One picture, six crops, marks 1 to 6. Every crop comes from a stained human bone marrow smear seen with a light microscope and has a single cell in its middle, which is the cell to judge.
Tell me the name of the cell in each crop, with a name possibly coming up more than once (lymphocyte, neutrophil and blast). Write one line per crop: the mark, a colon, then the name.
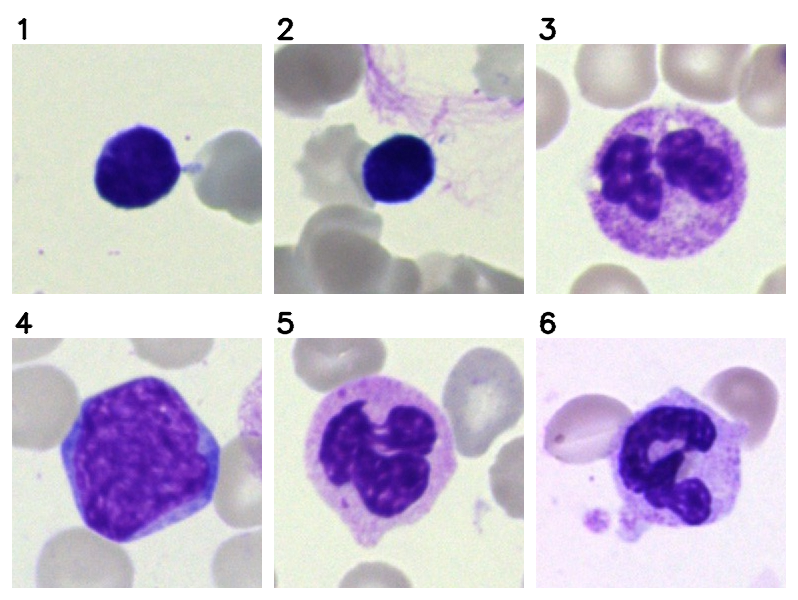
1: lymphocyte
2: lymphocyte
3: neutrophil
4: blast
5: neutrophil
6: neutrophil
